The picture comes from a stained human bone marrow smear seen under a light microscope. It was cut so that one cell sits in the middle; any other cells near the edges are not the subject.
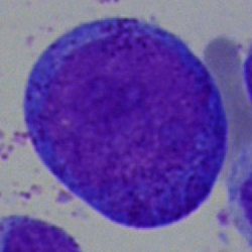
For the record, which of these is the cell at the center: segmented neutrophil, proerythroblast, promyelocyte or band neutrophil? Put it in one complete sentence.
The middle of this crop holds a promyelocyte.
